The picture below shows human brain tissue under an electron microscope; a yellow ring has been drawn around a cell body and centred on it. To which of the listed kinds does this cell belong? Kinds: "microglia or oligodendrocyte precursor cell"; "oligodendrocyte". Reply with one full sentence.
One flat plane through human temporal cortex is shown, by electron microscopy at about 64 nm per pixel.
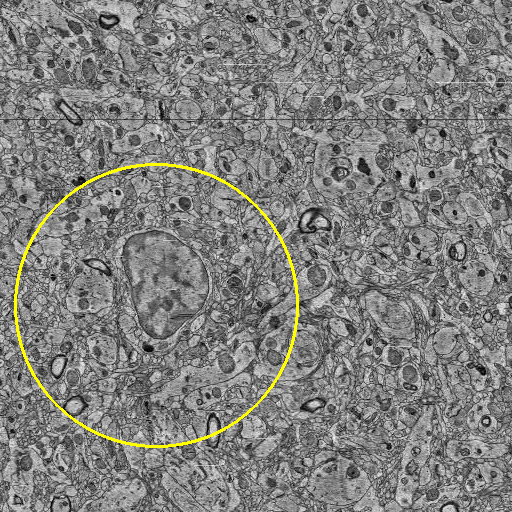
It is a microglial cell or oligodendrocyte precursor cell that the yellow ring in the picture is centred on.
